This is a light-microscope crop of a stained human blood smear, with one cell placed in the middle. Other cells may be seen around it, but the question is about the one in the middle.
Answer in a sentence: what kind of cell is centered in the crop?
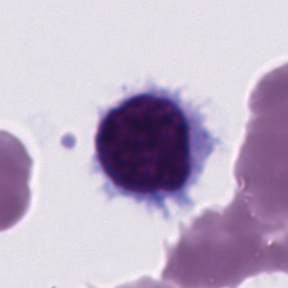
The cell sitting right in the middle is a hairy cell.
